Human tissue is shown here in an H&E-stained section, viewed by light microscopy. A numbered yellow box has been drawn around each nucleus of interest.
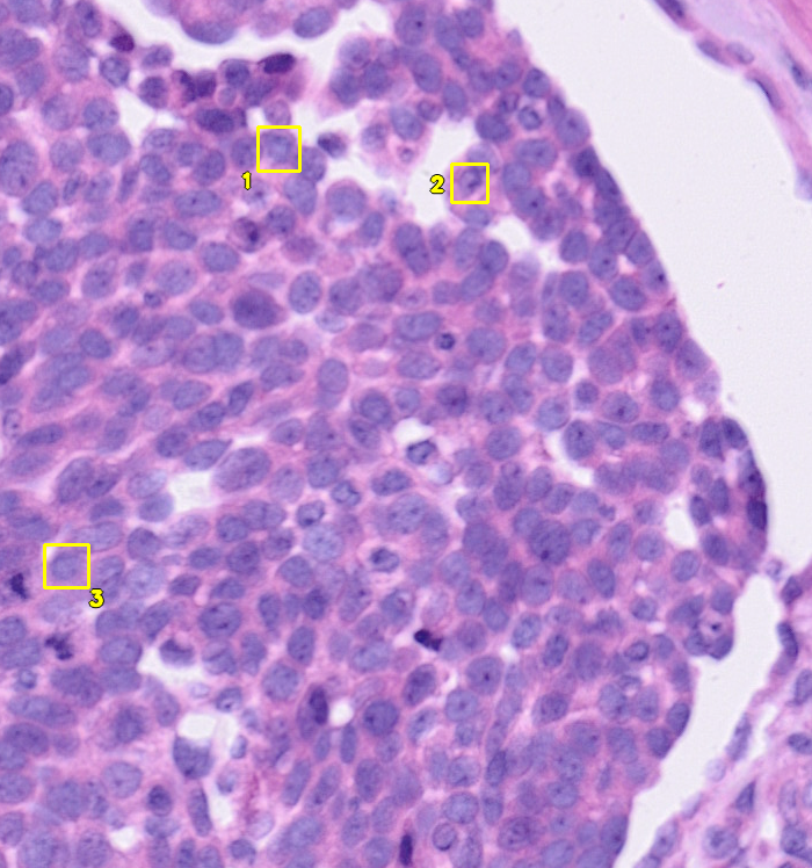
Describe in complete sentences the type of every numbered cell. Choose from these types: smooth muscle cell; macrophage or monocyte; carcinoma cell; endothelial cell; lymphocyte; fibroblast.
Cell 1 is a carcinoma cell, cell 2 is a macrophage or monocyte and cell 3 is a carcinoma cell.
